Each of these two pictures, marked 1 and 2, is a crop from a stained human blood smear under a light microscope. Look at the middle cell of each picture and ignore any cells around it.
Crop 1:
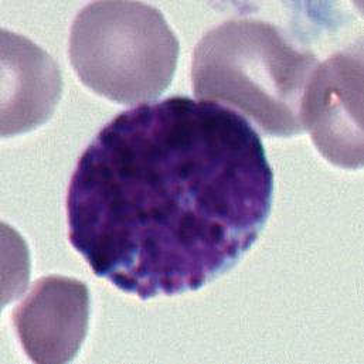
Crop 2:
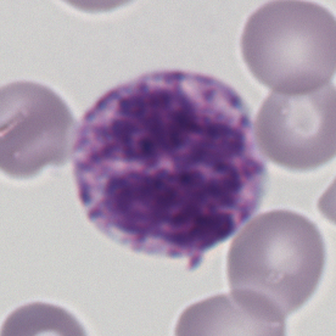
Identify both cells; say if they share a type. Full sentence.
Yes, in the two crops, basophils are the cells at the centre.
